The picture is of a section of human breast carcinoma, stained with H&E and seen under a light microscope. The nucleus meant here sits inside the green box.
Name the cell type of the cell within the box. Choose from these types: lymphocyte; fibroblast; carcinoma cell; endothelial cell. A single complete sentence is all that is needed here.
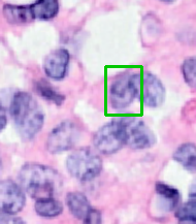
On this particular slide, the cell within the box is a carcinoma cell.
